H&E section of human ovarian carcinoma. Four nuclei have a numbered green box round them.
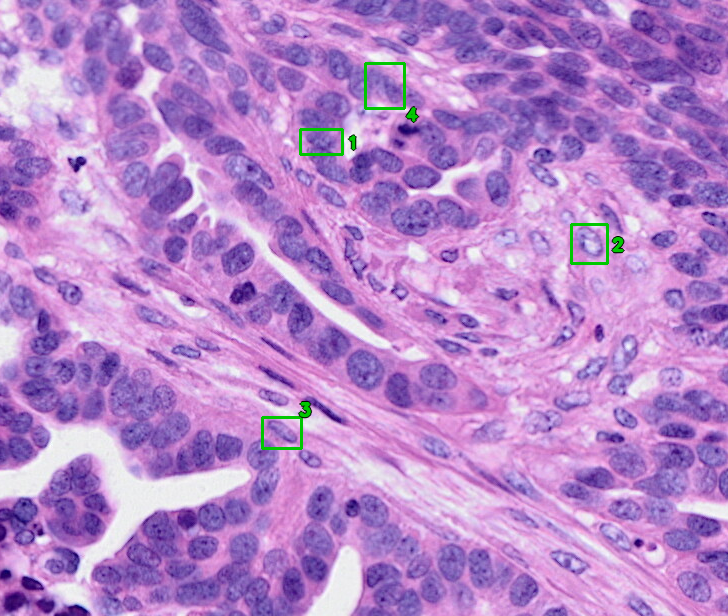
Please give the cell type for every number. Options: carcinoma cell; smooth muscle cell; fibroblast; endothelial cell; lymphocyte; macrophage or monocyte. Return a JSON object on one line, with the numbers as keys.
{"1": "carcinoma cell", "2": "fibroblast", "3": "fibroblast", "4": "carcinoma cell"}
